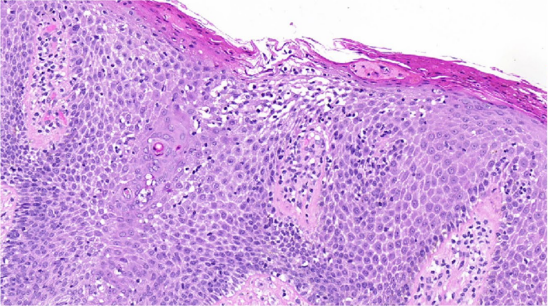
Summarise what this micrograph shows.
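This is skin with a thickened, irregularly hyperplastic epidermis topped by a pink keratin layer, its rete ridges elongated around narrow pale dermal papillae. Many small cells with dark nuclei, some surrounded by clear halos, lie scattered and clustered among the pale pink keratinocytes of the epidermis.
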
